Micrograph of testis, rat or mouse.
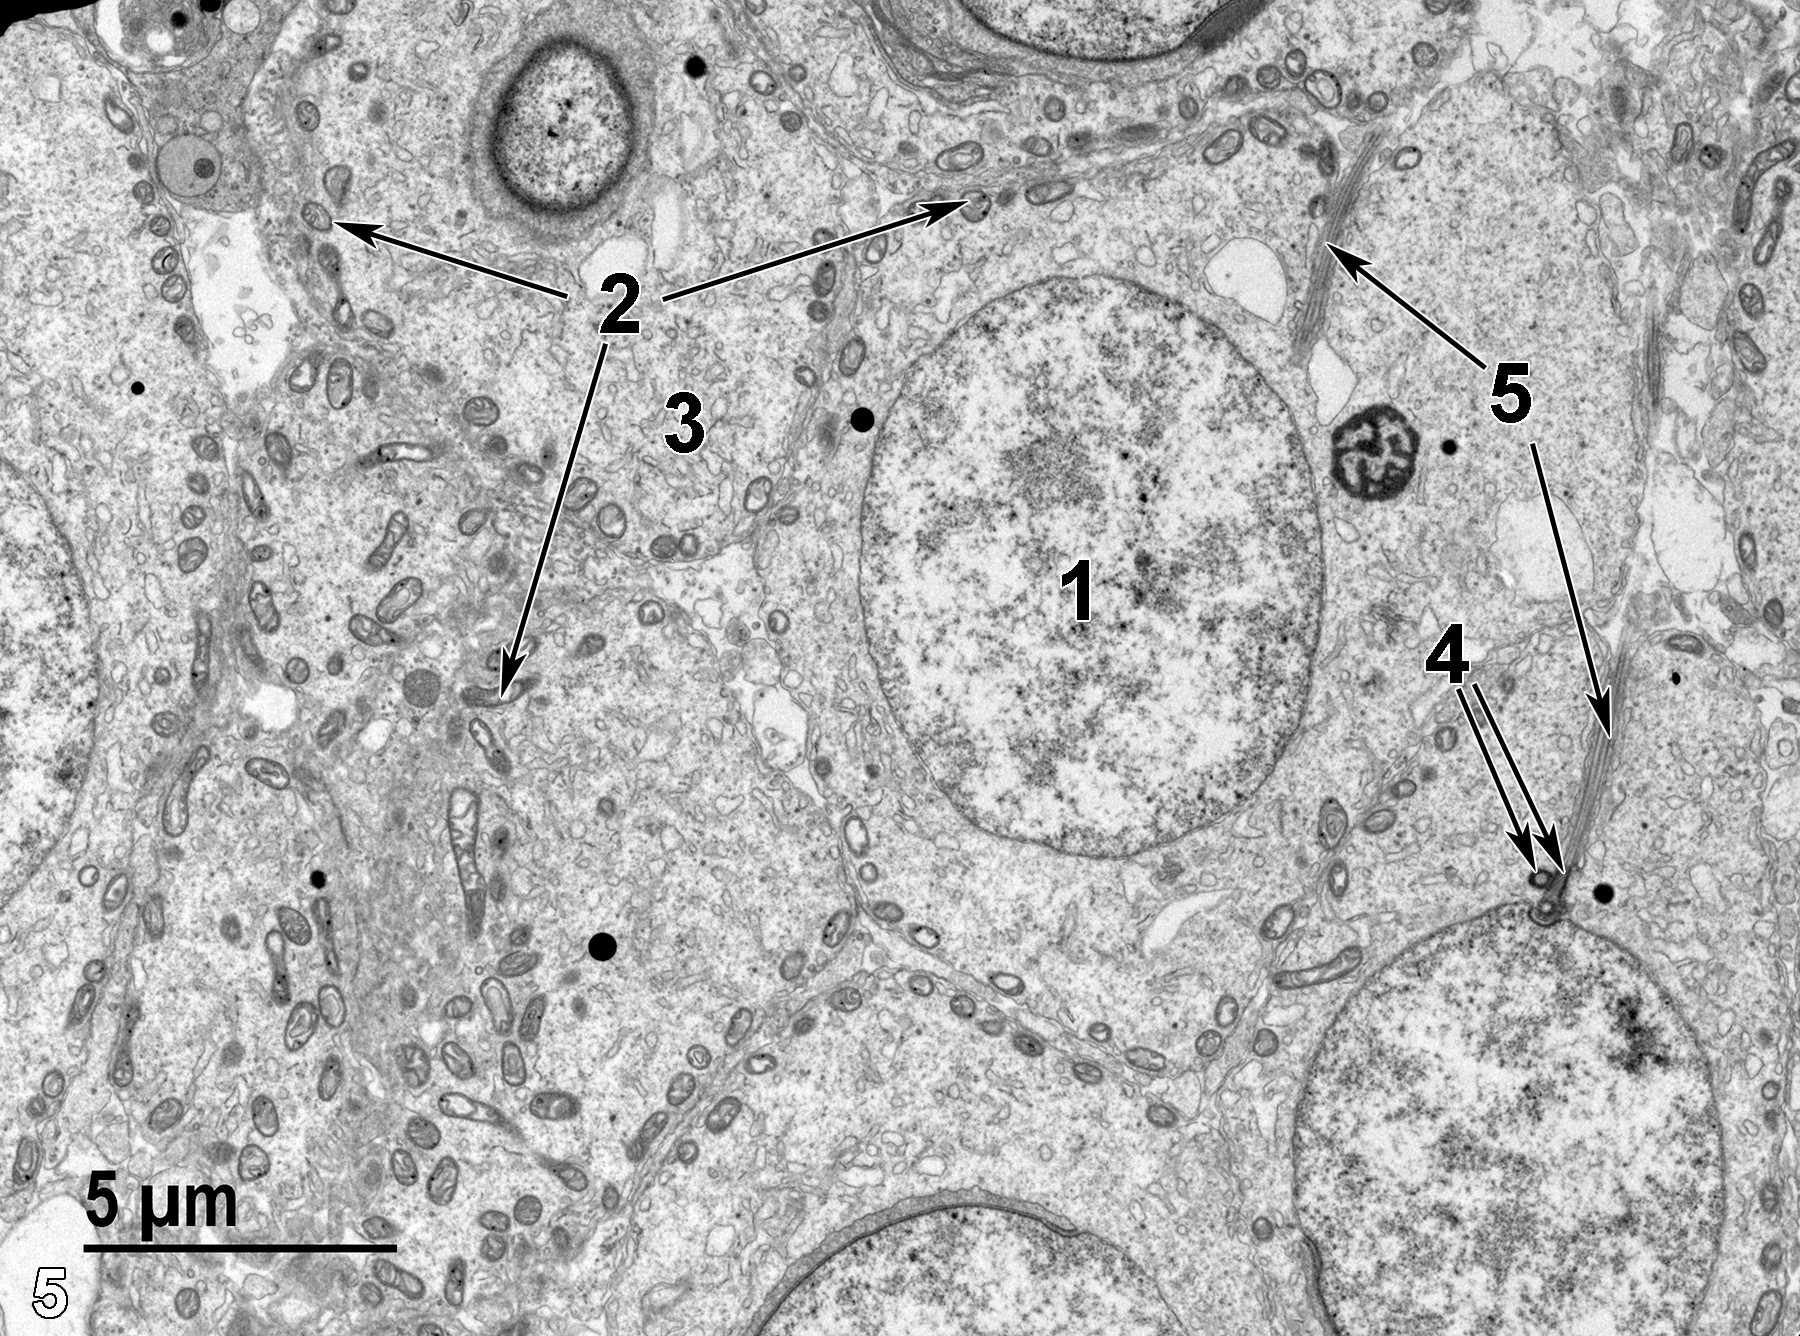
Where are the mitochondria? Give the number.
2.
